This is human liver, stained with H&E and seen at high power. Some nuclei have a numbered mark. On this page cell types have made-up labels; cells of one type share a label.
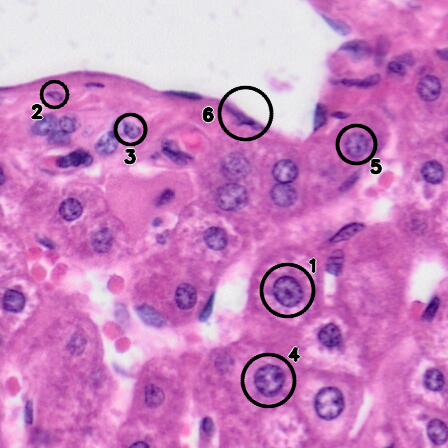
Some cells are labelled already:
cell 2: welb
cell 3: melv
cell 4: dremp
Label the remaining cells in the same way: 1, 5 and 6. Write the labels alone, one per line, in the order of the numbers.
dremp
dremp
welb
